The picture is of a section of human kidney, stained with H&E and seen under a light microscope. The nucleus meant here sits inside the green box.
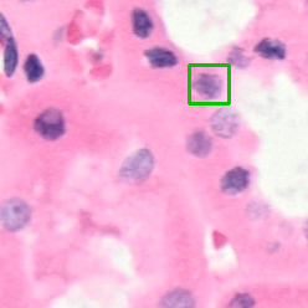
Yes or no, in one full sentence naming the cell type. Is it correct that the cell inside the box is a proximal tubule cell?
No, it is a loop of Henle or distal tubule cell rather than a proximal tubule cell that the cell inside the box is.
